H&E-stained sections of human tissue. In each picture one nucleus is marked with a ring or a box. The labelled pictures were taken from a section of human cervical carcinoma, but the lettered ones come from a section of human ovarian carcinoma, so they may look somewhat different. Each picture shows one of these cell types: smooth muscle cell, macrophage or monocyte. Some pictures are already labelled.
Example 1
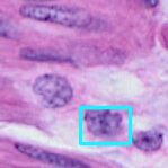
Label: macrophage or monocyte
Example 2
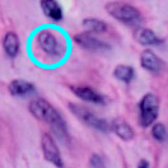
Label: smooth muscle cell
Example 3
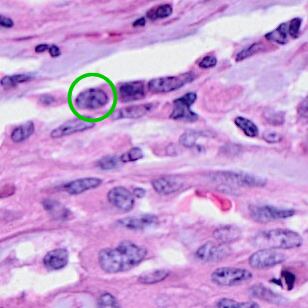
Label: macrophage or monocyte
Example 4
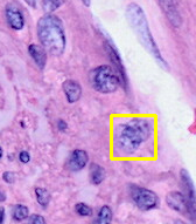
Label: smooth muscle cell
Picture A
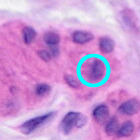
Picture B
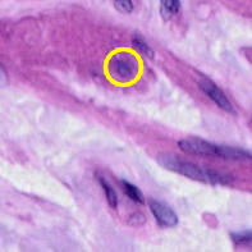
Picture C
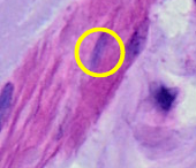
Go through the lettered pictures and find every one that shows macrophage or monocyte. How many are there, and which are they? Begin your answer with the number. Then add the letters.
0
